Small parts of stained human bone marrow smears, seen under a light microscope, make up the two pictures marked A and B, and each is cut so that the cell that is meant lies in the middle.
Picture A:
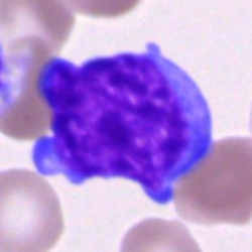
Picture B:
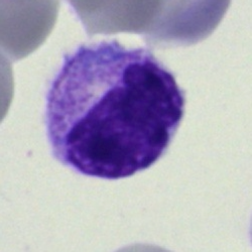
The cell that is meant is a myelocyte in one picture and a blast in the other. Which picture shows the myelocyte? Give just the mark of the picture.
B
